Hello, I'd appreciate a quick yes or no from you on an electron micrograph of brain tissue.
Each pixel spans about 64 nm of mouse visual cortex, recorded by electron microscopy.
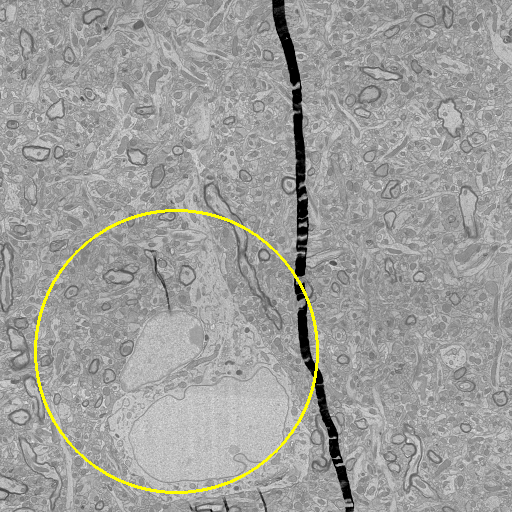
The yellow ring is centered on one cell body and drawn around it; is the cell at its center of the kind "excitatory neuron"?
no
